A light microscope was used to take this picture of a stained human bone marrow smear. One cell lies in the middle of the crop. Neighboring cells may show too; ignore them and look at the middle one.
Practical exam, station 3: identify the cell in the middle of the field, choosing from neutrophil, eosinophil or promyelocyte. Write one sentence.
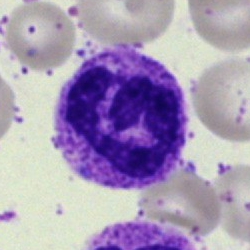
The cell centered in this field of view is a neutrophil.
